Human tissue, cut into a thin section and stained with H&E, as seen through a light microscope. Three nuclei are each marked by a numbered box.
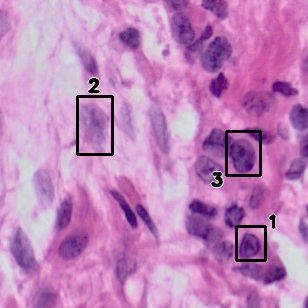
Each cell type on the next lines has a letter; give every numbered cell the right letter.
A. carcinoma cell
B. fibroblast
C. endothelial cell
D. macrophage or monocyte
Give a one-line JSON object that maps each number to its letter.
{"1": "D", "2": "B", "3": "A"}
